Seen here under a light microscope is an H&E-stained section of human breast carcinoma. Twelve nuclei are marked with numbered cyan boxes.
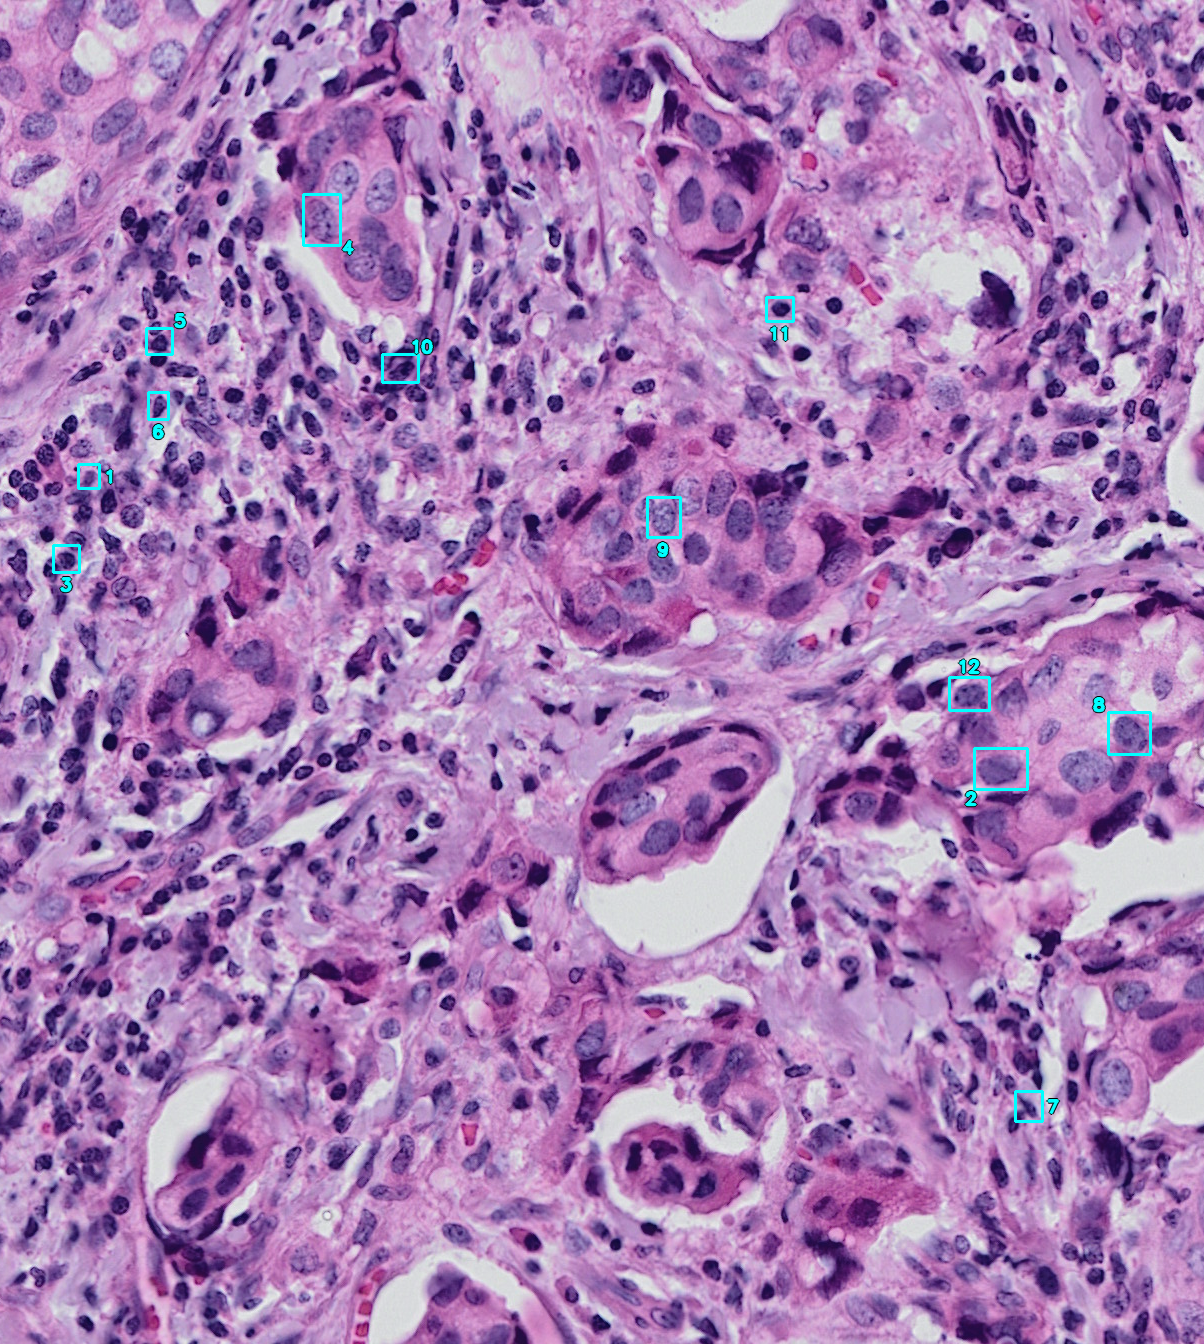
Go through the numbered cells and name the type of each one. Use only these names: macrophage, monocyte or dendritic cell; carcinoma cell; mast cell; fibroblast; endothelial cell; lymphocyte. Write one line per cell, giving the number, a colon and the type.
1: lymphocyte
2: carcinoma cell
3: lymphocyte
4: carcinoma cell
5: lymphocyte
6: lymphocyte
7: lymphocyte
8: carcinoma cell
9: carcinoma cell
10: lymphocyte
11: lymphocyte
12: carcinoma cell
